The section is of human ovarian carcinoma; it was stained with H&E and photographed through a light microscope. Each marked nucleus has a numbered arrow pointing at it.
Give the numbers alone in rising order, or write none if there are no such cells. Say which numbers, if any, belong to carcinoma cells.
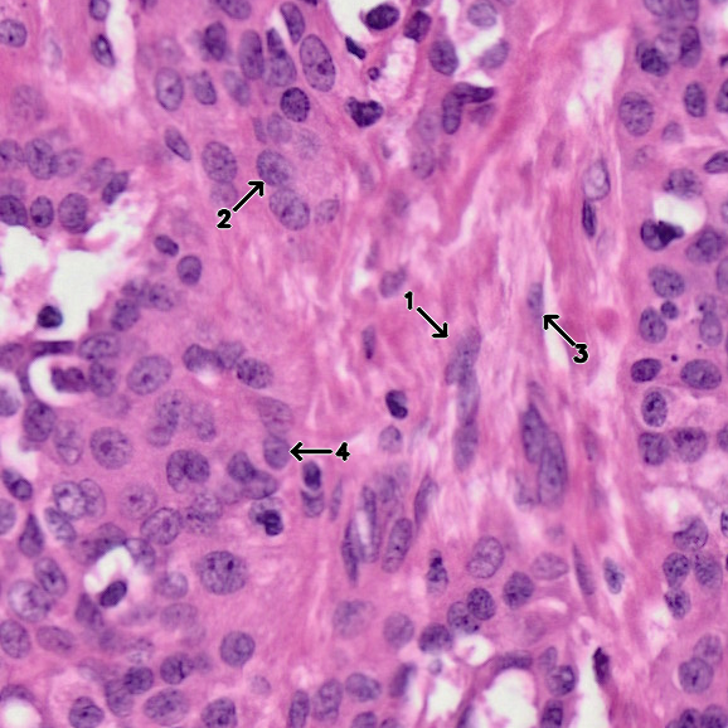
2, 4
